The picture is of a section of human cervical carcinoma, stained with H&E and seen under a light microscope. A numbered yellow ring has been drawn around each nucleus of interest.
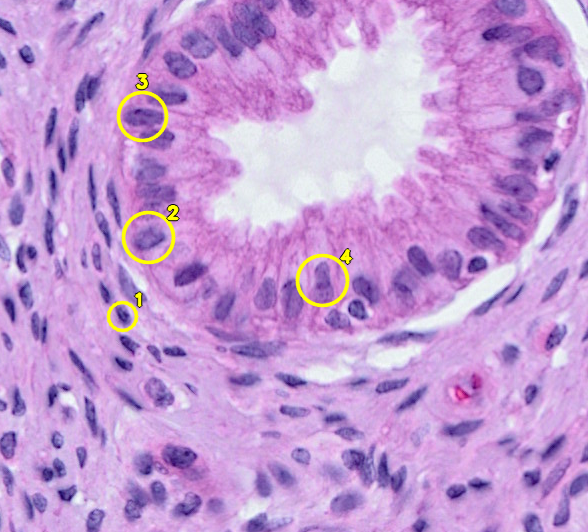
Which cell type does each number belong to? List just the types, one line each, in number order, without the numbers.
fibroblast
secretory epithelial cell
secretory epithelial cell
secretory epithelial cell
